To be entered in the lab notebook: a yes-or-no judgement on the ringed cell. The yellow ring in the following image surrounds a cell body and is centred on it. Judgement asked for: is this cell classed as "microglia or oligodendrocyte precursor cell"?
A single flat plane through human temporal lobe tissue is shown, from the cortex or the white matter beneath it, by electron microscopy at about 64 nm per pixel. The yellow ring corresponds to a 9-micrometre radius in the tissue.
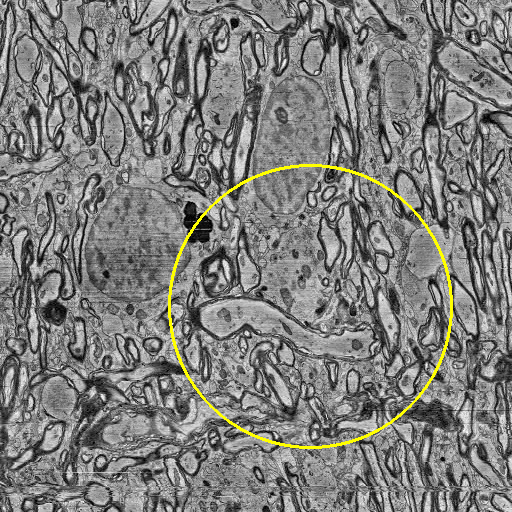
No, it falls in another class.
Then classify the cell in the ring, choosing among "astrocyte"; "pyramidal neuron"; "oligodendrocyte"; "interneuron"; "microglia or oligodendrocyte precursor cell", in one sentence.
The cell marked by the ring is an oligodendrocyte.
